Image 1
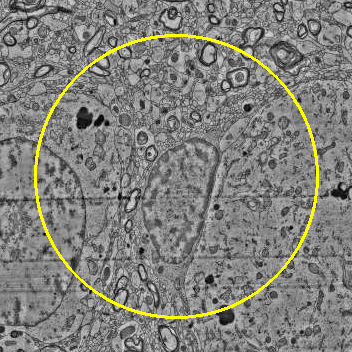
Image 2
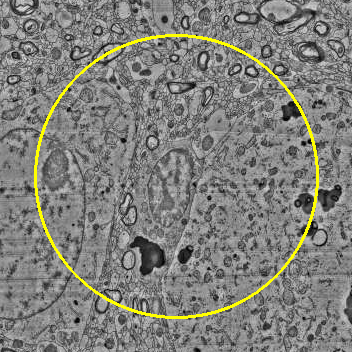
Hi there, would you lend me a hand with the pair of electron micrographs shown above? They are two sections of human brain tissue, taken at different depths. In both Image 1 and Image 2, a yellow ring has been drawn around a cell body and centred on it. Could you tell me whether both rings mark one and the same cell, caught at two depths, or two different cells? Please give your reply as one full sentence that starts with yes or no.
Yes, a single cell lies behind both yellow marks.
